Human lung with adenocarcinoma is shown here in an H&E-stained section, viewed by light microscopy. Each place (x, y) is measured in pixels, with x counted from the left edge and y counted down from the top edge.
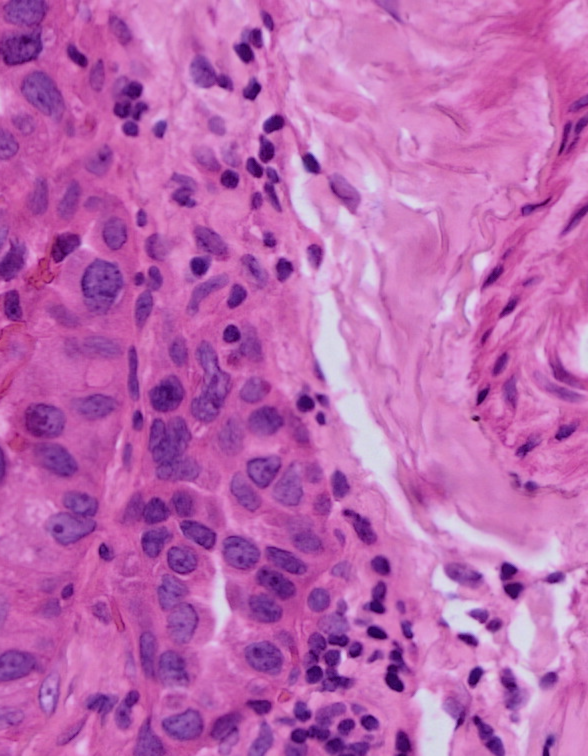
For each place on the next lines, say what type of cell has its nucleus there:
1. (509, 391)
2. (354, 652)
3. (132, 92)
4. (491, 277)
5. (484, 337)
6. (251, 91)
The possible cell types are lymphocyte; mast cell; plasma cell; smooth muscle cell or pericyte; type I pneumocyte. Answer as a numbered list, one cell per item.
1. smooth muscle cell or pericyte
2. lymphocyte
3. lymphocyte
4. smooth muscle cell or pericyte
5. smooth muscle cell or pericyte
6. lymphocyte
